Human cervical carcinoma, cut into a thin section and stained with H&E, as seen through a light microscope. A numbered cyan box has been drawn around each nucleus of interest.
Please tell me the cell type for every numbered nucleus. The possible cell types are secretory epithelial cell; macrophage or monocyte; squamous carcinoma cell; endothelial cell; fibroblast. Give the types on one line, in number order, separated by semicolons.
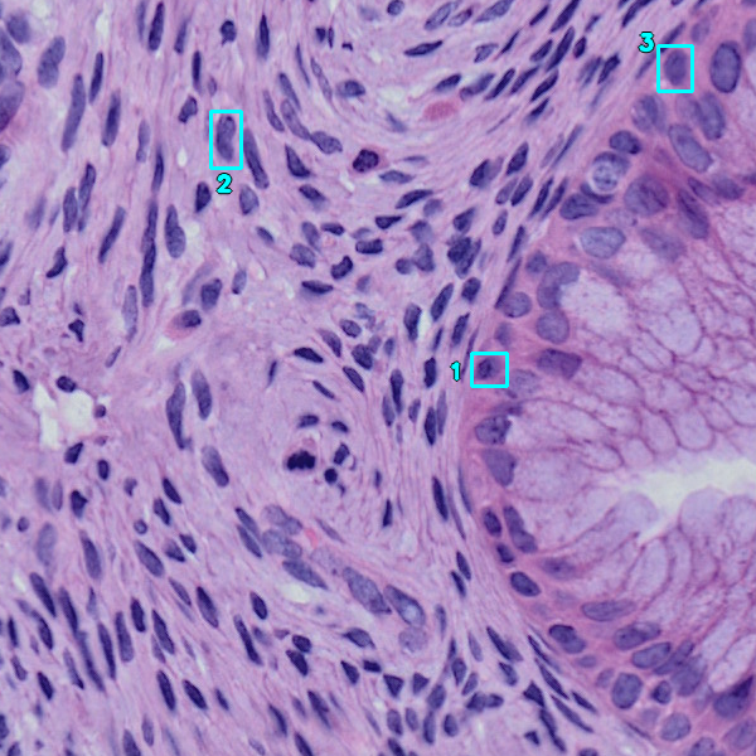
secretory epithelial cell; fibroblast; secretory epithelial cell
